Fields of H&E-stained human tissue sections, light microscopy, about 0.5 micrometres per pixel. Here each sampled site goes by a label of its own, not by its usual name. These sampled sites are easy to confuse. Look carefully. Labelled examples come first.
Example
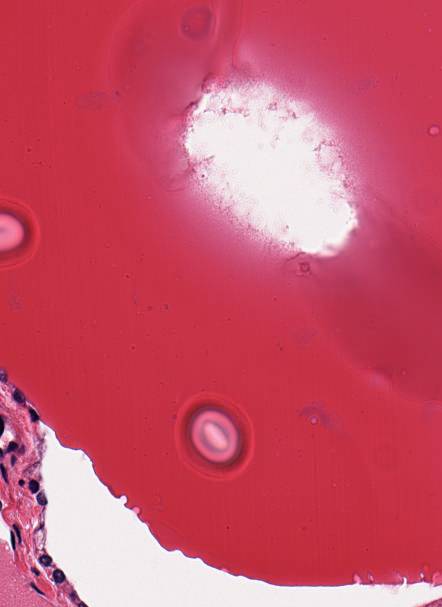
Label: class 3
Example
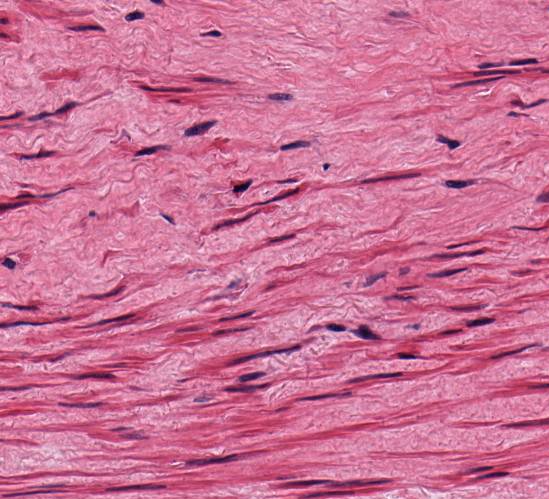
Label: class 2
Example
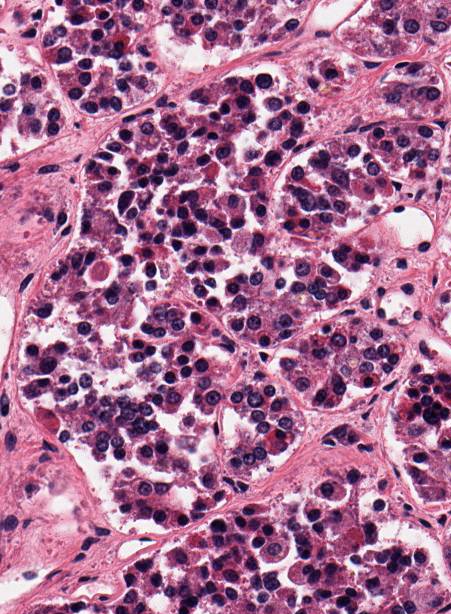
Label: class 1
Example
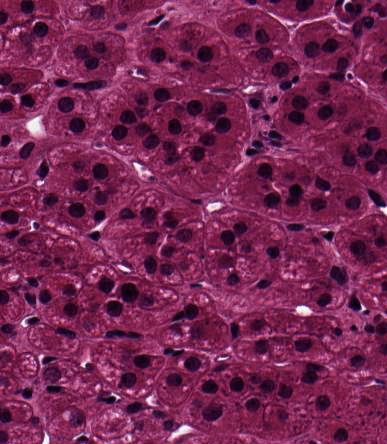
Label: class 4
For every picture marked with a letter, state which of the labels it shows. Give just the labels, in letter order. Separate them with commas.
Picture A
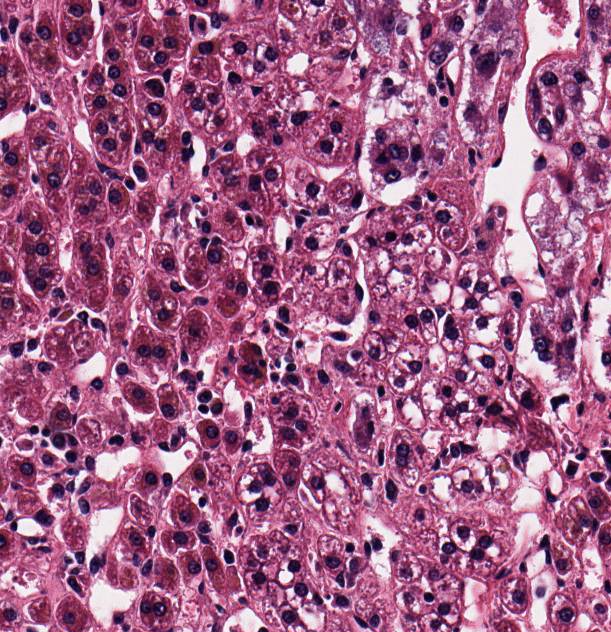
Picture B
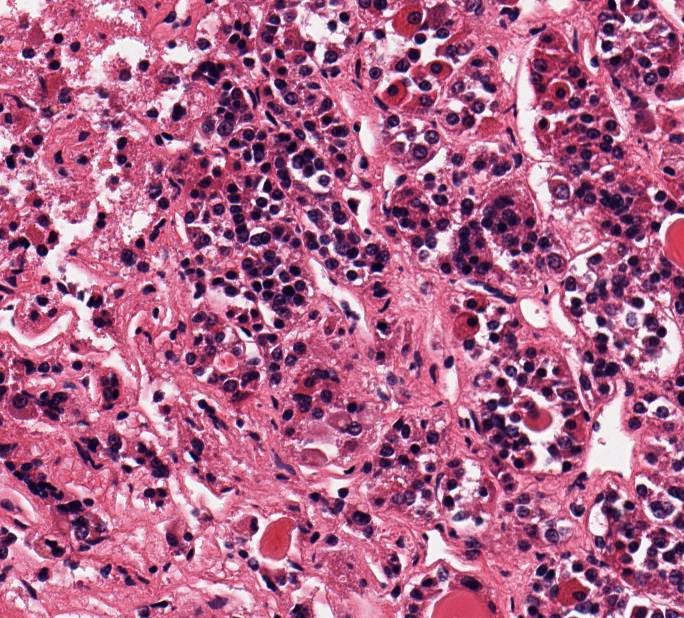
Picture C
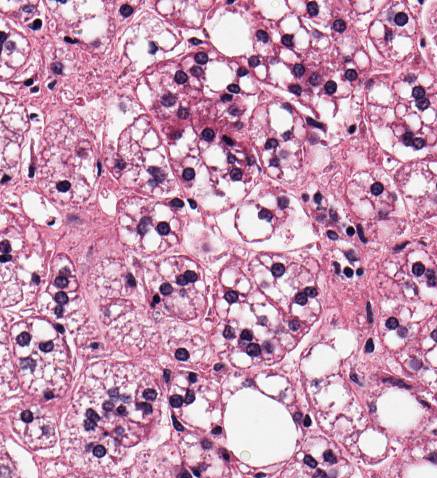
class 4, class 1, class 4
